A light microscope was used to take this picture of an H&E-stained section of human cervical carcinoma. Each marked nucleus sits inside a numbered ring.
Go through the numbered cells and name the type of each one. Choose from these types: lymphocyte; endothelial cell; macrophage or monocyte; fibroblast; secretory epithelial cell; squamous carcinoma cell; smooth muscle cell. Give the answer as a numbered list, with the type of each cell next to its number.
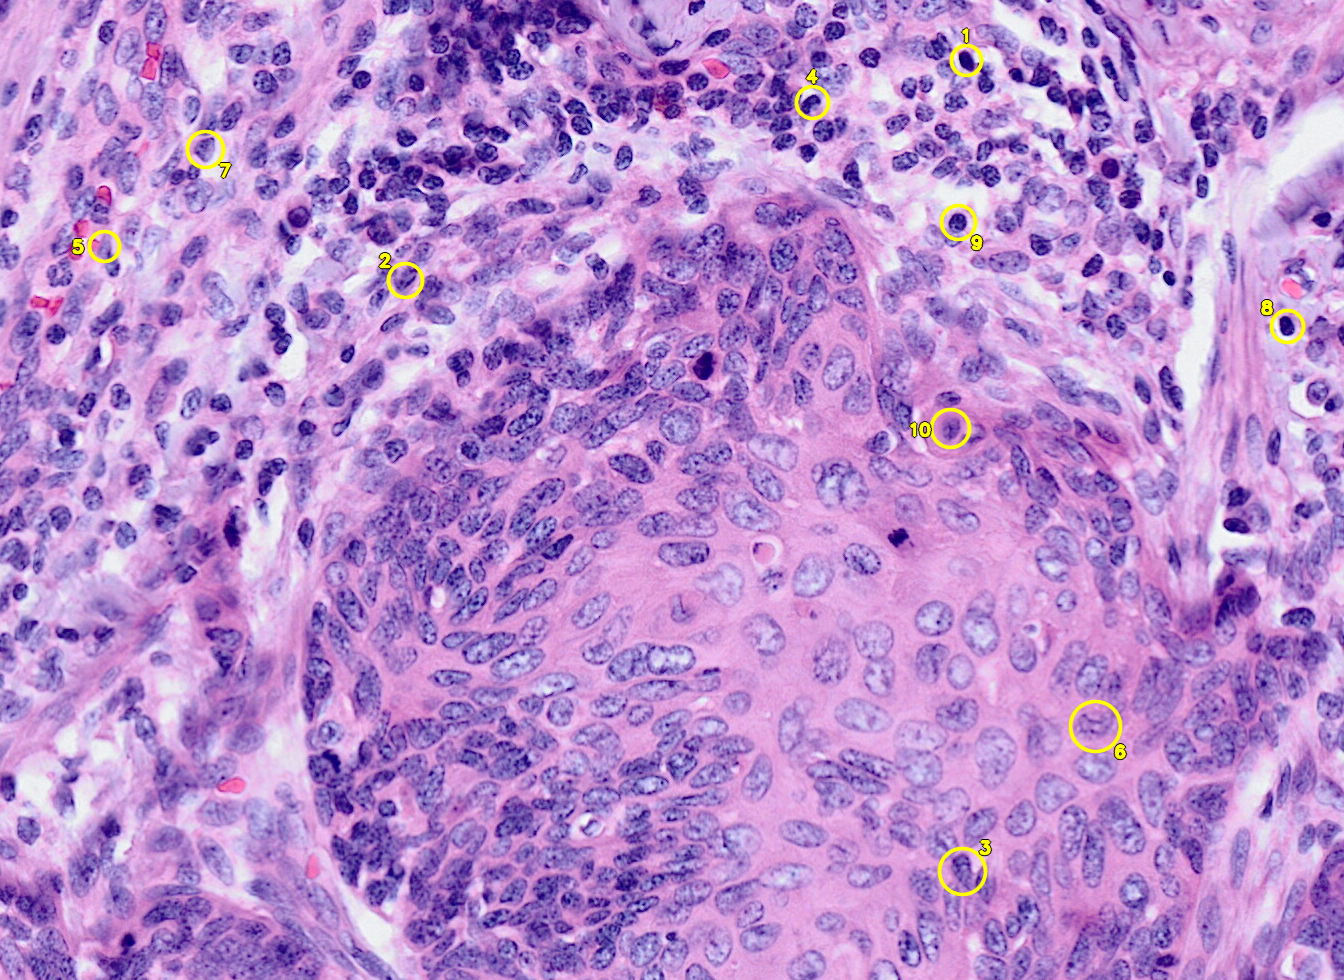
1. lymphocyte
2. lymphocyte
3. squamous carcinoma cell
4. lymphocyte
5. endothelial cell
6. squamous carcinoma cell
7. lymphocyte
8. lymphocyte
9. lymphocyte
10. squamous carcinoma cell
